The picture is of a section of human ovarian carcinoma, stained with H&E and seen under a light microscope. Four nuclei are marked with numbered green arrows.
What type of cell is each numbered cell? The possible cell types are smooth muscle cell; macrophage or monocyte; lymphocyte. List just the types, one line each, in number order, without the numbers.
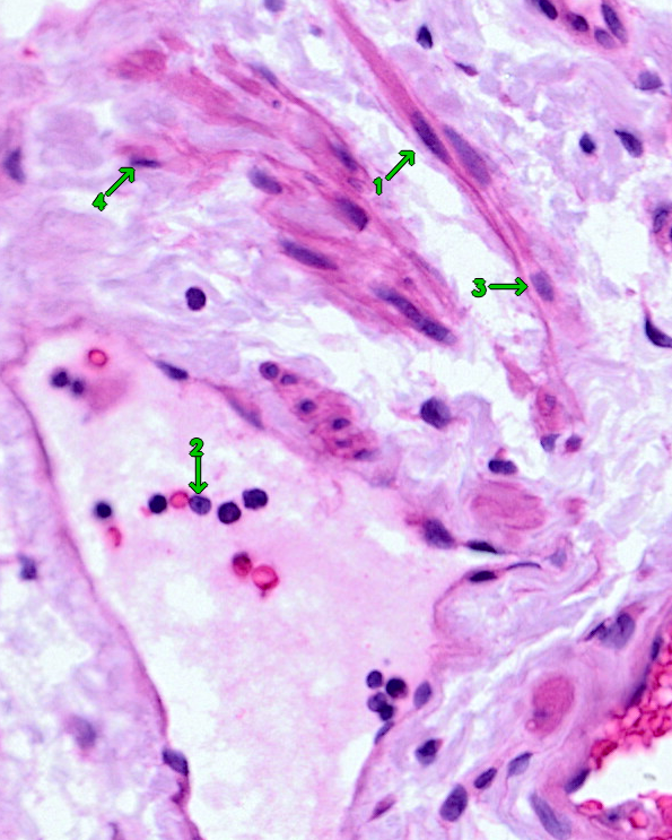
smooth muscle cell
lymphocyte
smooth muscle cell
smooth muscle cell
